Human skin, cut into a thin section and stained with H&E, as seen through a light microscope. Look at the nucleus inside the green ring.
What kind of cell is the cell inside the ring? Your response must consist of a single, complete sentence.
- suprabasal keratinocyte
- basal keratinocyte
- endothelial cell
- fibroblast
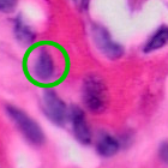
In this section, the cell inside the ring is an endothelial cell.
